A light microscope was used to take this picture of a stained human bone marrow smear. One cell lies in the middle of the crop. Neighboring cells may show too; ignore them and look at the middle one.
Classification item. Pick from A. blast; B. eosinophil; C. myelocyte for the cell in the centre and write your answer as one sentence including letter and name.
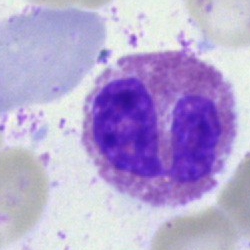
The correct option, B, names the middle cell as an eosinophil.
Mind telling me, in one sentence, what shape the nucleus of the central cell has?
The nucleus has been partitioned into two or more lobes.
